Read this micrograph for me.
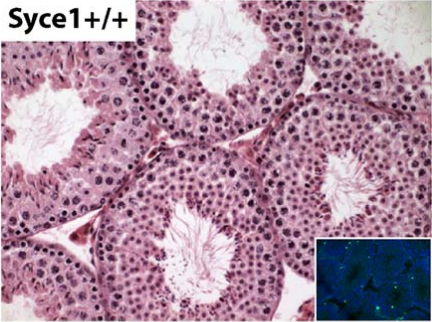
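This is a cross-section of testis showing several closely packed seminiferous tubules. Each tubule is lined by a thick, many-layered epithelium of germ cells with round, dark purple nuclei set in pink cytoplasm. Toward the centre the lumens are filled with tufts of pale, wispy filaments, the tails of developing sperm. Between the tubules lie only narrow strips of interstitial tissue with a few small reddish cells. The inset shows a dark blue field with just a few scattered green dots.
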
